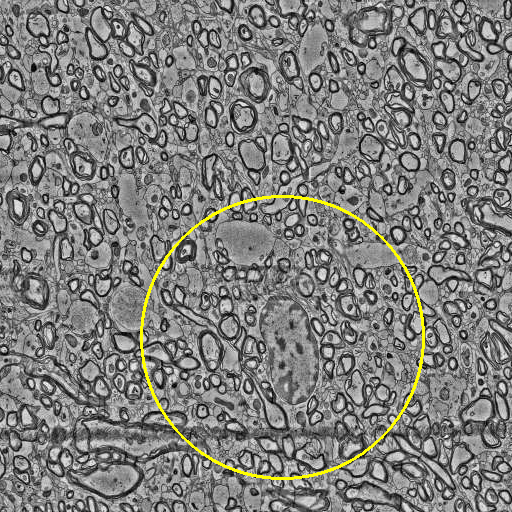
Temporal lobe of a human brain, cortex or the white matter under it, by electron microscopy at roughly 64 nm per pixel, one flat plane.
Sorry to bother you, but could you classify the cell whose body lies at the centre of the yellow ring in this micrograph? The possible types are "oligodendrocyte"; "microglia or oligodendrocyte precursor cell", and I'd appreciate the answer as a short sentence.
The ringed cell body is that of a microglial cell or oligodendrocyte precursor cell.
